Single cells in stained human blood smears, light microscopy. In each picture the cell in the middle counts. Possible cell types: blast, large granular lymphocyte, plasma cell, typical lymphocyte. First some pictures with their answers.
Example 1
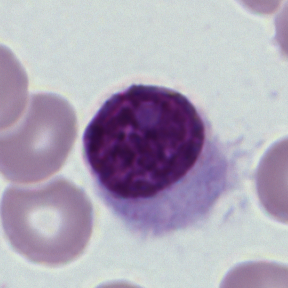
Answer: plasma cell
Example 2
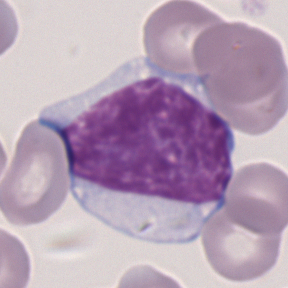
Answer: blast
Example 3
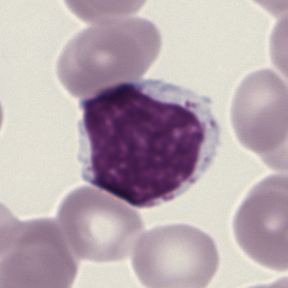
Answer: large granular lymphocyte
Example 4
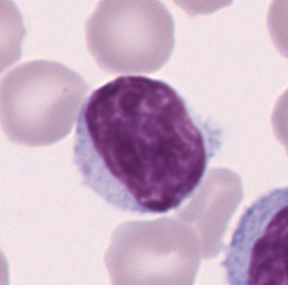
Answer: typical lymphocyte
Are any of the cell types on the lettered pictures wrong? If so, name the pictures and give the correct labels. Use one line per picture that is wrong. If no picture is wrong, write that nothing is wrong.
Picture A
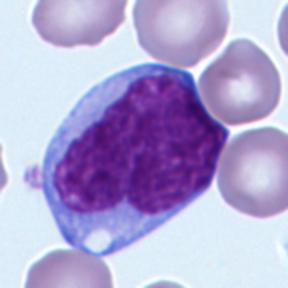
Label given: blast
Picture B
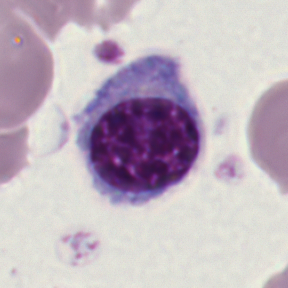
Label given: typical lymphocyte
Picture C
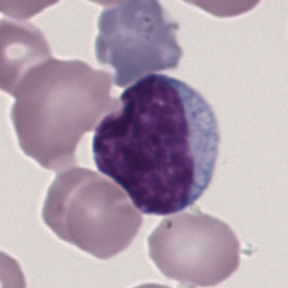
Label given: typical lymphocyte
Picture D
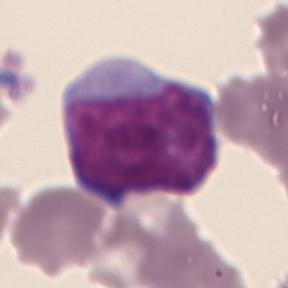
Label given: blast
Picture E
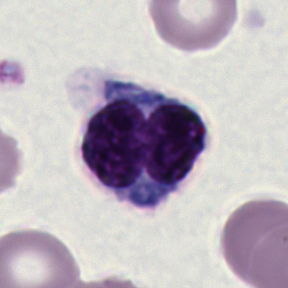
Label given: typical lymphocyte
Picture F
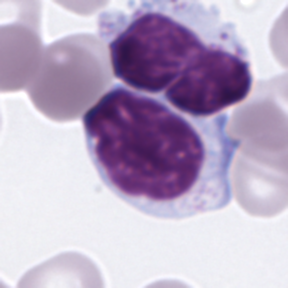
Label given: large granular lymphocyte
B should be plasma cell, not typical lymphocyte
E should be plasma cell, not typical lymphocyte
